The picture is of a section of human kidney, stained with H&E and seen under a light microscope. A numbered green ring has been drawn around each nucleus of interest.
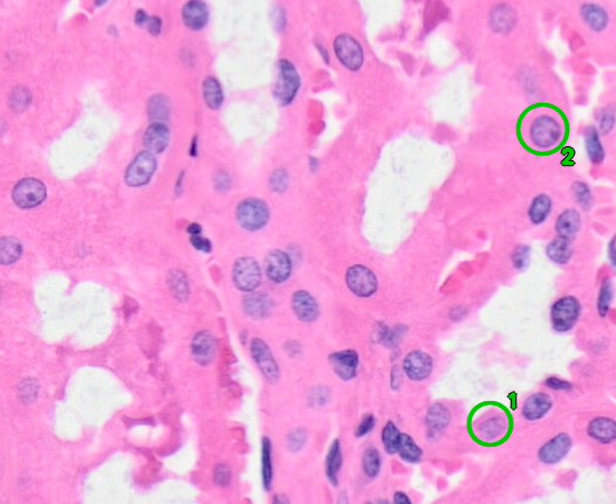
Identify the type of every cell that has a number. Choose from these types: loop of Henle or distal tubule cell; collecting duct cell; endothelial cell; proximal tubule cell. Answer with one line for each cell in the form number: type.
1: loop of Henle or distal tubule cell
2: proximal tubule cell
